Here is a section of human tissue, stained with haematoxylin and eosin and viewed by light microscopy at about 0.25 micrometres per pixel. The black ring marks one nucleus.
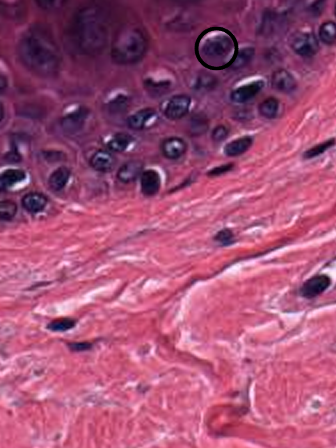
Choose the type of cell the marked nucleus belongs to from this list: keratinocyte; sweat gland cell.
keratinocyte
